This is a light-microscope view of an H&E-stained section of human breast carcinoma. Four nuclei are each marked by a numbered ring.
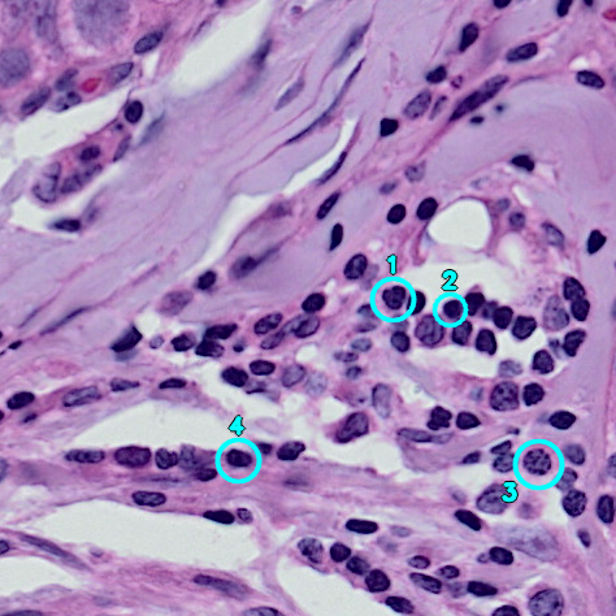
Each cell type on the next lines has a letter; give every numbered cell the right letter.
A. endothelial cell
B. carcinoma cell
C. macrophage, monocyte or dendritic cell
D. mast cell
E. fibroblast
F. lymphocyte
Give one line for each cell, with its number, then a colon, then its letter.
1: F
2: F
3: D
4: F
